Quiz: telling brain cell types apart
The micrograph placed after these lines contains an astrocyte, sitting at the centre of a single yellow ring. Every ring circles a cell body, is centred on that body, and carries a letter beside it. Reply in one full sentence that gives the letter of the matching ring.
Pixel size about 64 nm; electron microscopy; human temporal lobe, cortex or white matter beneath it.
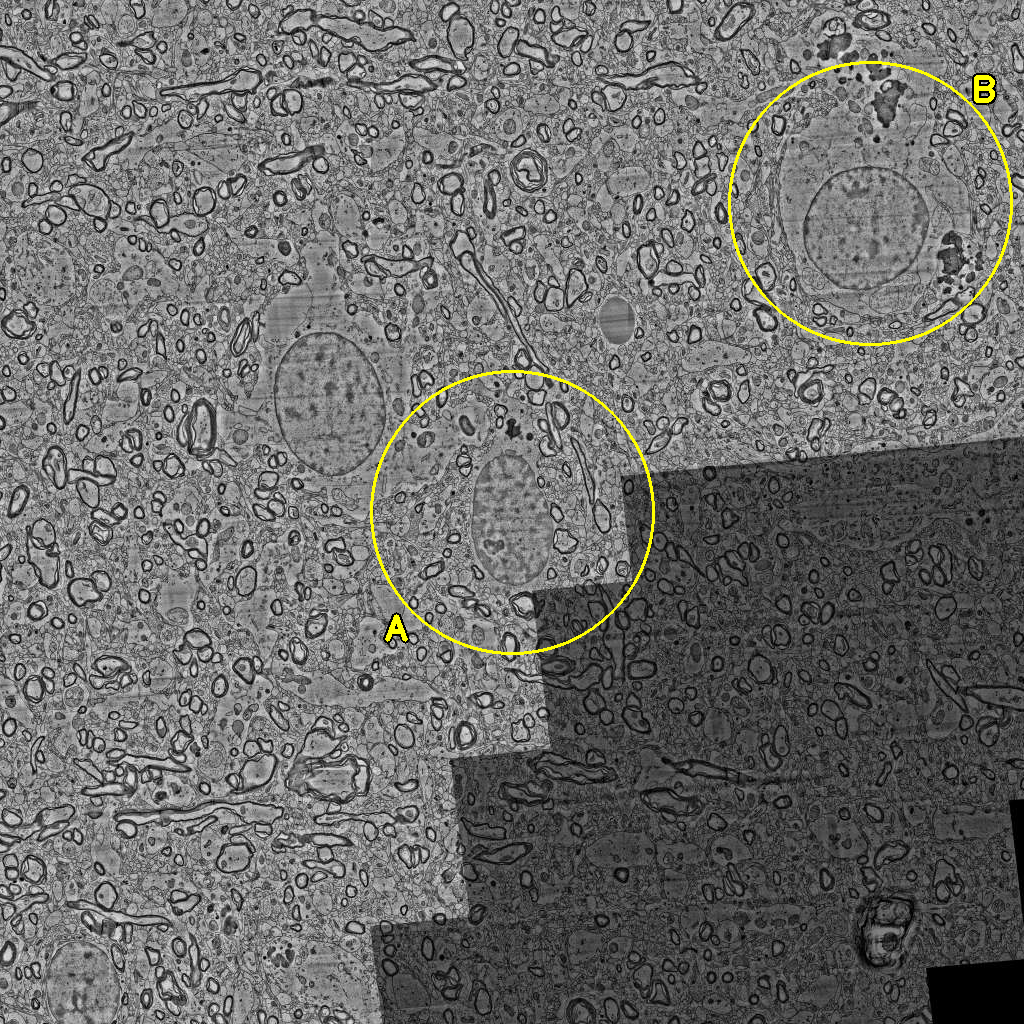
The cell asked for lies at the centre of ring B in the picture.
